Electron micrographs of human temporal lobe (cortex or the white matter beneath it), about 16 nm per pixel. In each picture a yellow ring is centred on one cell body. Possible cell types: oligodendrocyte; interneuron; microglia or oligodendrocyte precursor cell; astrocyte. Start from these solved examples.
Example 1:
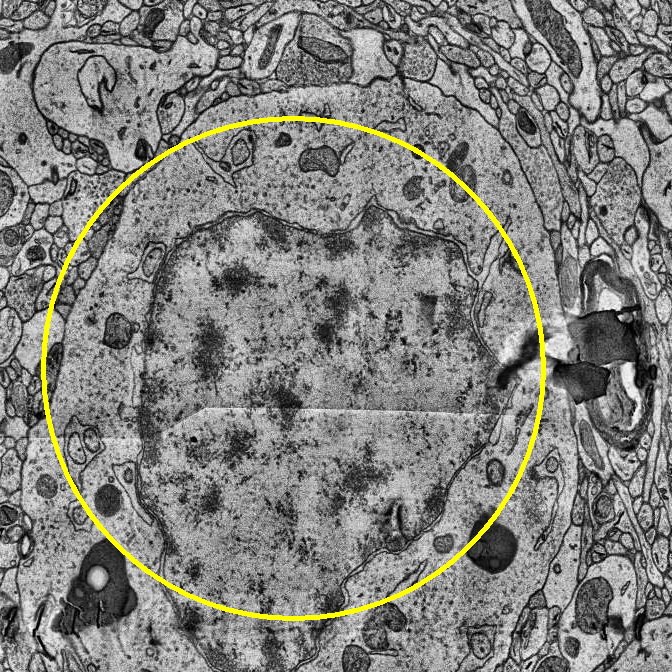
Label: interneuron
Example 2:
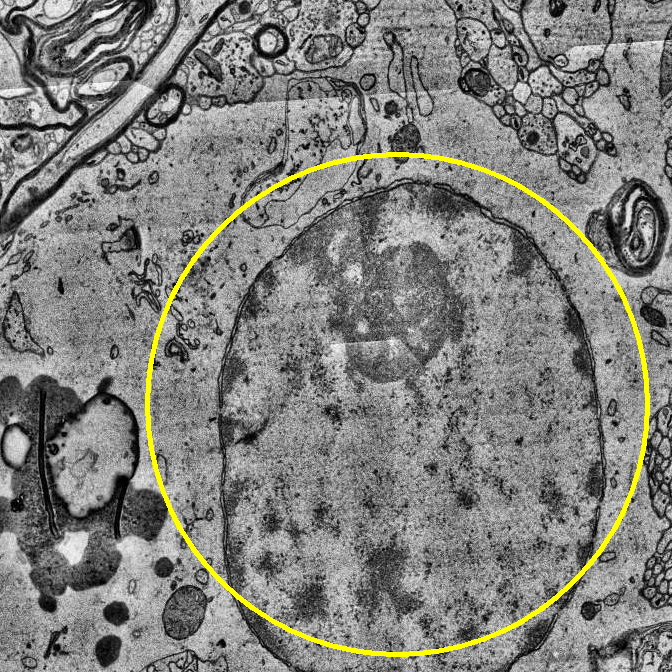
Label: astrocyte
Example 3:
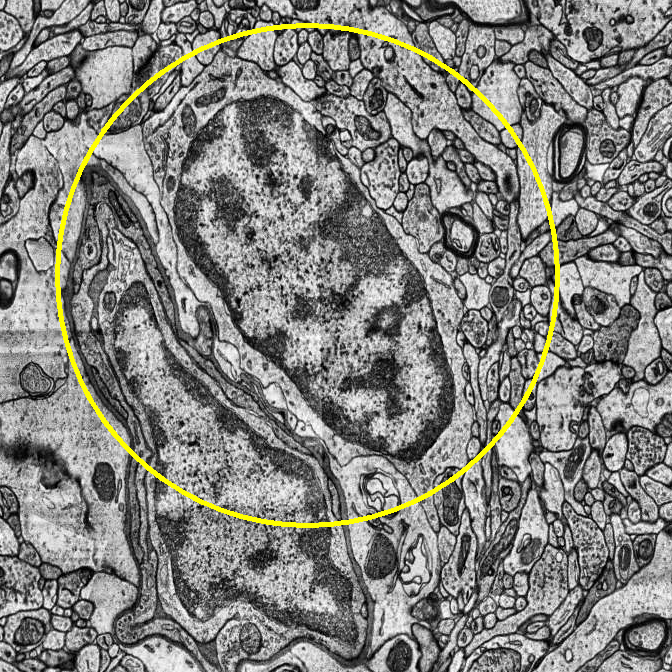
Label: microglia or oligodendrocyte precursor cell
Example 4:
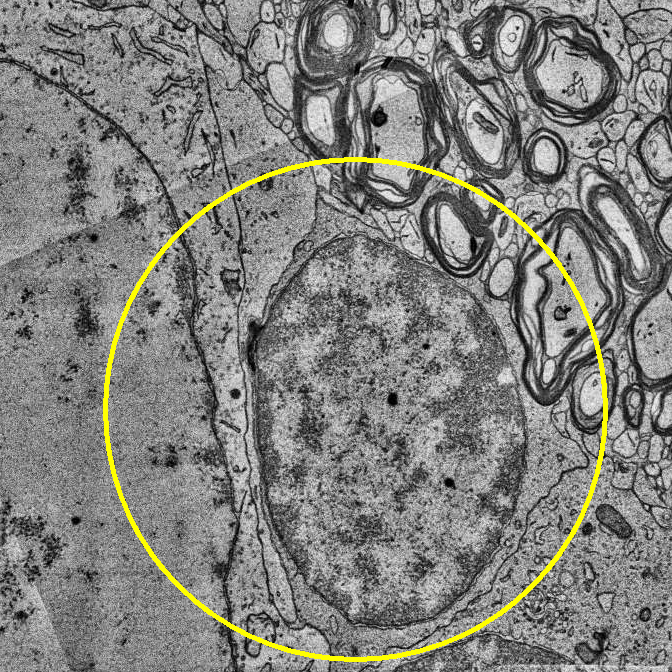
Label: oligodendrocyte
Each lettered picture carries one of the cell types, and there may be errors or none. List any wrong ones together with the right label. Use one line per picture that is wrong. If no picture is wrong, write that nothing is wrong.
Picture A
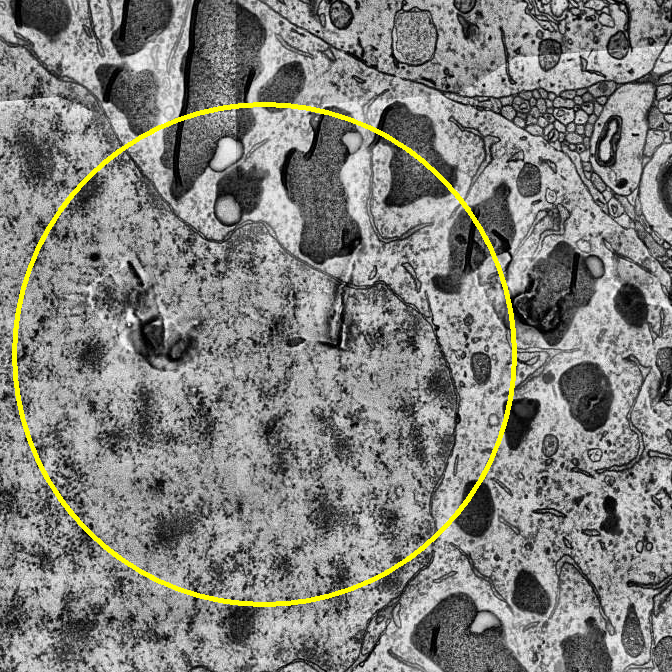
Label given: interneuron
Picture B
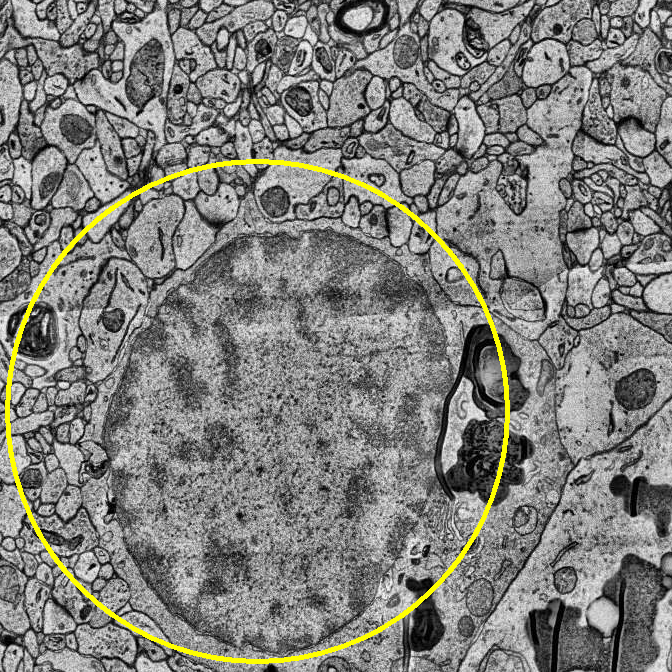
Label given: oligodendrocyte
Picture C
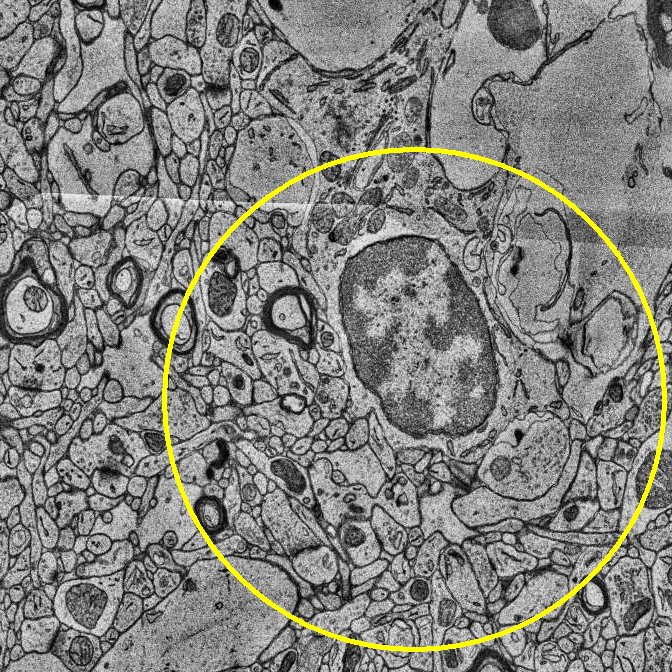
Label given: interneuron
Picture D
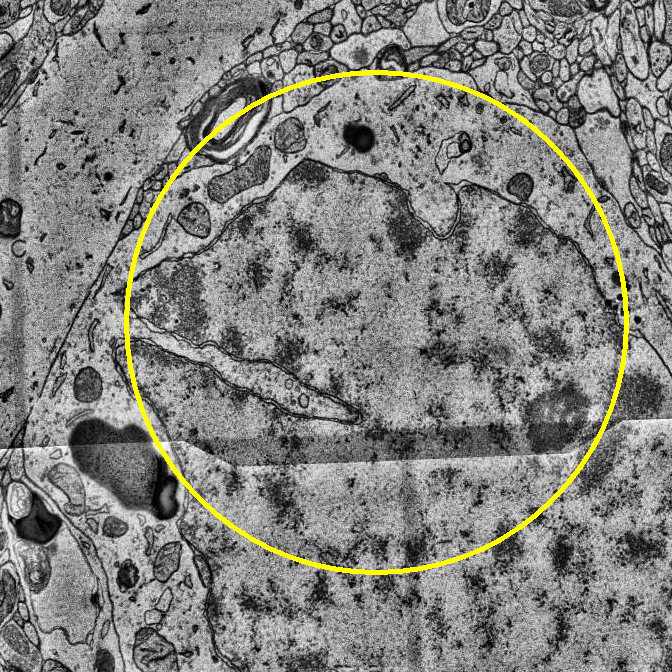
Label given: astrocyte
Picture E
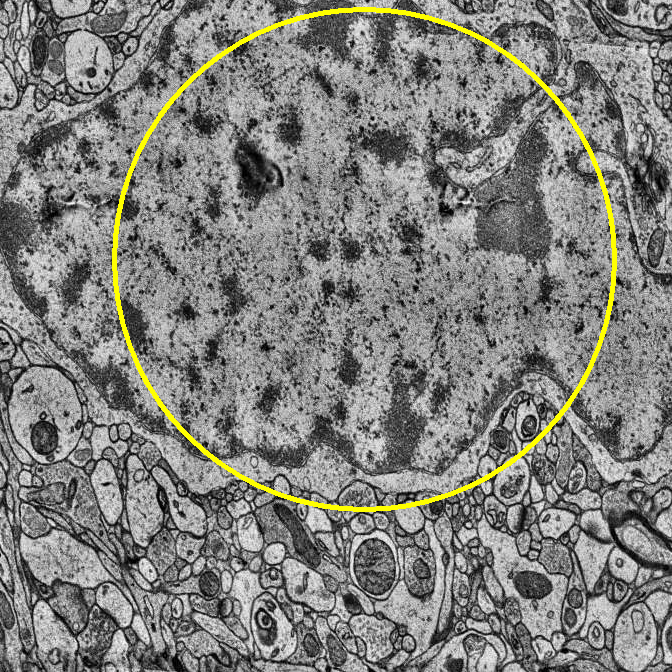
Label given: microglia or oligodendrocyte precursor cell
C: microglia or oligodendrocyte precursor cell, not interneuron
D: interneuron, not astrocyte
